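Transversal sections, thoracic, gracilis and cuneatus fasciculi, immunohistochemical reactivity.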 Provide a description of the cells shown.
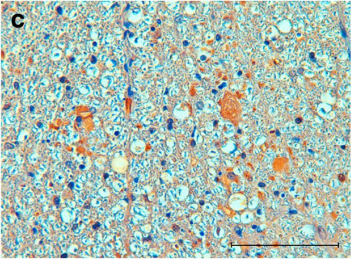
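This is a cross-section of spinal cord white matter, with myelinated nerve fibres cut across as small round profiles with pale rings. Scattered among them are several swollen axonal bodies, rounded and much larger than the ordinary fibres, stained orange-red, some with a concentric or granular look. Small dark blue nuclei of glial cells lie between the fibres, and a few empty round spaces are also seen.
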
